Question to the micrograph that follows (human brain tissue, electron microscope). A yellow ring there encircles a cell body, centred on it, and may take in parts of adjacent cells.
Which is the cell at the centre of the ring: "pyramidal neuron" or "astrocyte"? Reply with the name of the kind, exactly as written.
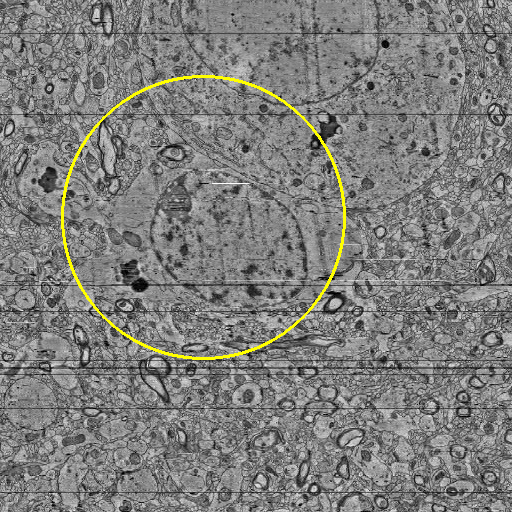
astrocyte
